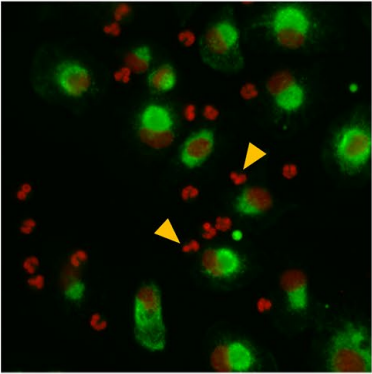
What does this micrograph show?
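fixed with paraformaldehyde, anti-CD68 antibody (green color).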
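Mixed culture of large macrophages and many small multilobulated granulocytes. The macrophages are rounded or elongated, with green granular cytoplasm surrounding a single oval red nucleus, while the granulocytes show only small red nuclei divided into several lobes. Several granulocytes lie singly or in small clusters directly beside macrophages.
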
